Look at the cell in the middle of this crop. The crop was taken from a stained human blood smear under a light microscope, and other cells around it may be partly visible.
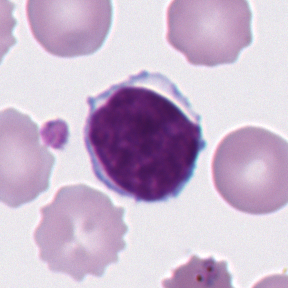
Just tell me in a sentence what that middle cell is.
Of the cells in this crop, the central one is a typical lymphocyte.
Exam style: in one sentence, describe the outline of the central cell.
A smooth outline is absent here, replaced by ragged stretches or projections.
